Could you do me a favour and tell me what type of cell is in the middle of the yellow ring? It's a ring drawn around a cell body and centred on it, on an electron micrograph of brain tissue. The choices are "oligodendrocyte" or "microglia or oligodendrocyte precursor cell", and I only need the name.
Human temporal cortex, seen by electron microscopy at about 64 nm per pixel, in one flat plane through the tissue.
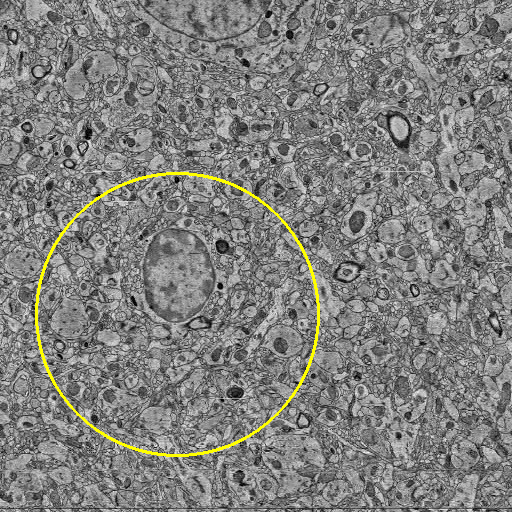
microglia or oligodendrocyte precursor cell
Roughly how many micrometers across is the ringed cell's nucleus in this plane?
Roughly 6 by 5 micrometres in this plane, for the nucleus of the ringed cell.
